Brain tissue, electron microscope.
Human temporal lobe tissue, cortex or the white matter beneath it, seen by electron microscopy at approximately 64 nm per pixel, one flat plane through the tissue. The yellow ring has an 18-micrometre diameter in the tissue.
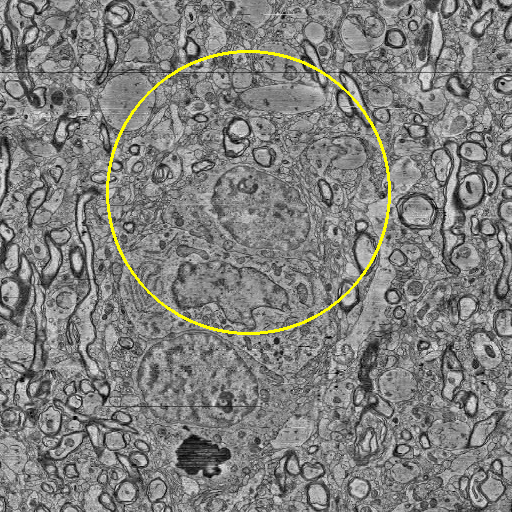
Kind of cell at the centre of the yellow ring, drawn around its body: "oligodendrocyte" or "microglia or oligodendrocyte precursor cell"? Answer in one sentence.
The ring's centre falls on an oligodendrocyte.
